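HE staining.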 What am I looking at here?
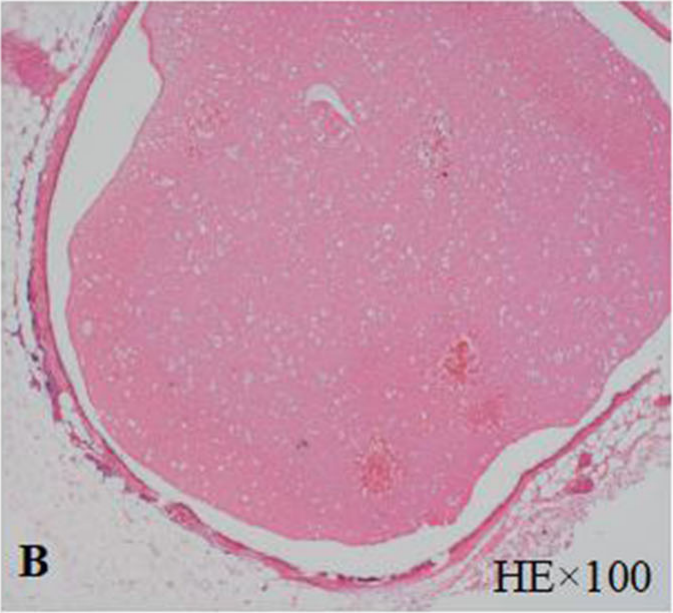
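This low-power view shows a large, rounded cavity bounded by a thin, even wall of pink fibrous tissue with a few scattered dark nuclei. The cavity is filled with homogeneous pale pink, finely vacuolated material that holds a few small reddish patches, probably blood. Along one side the contents have pulled away from the wall, leaving a crescent-shaped clear space, most likely an artefact of processing. Outside the wall lies loose, pale connective tissue containing small vessels. No lining epithelium can be resolved at this magnification. Taken together, this is a thin-walled cyst filled with proteinaceous fluid.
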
